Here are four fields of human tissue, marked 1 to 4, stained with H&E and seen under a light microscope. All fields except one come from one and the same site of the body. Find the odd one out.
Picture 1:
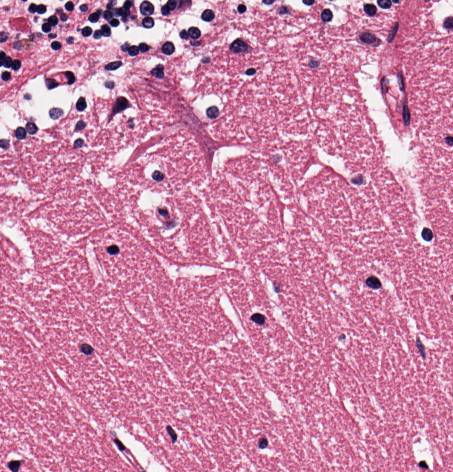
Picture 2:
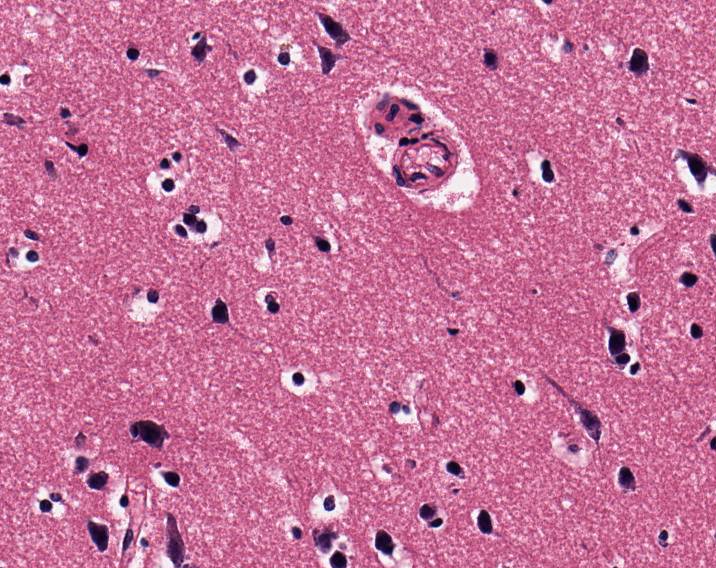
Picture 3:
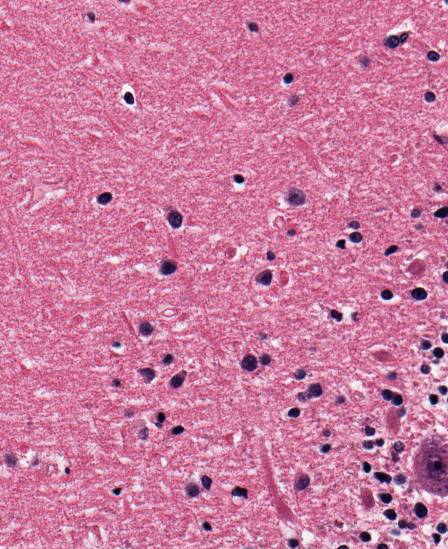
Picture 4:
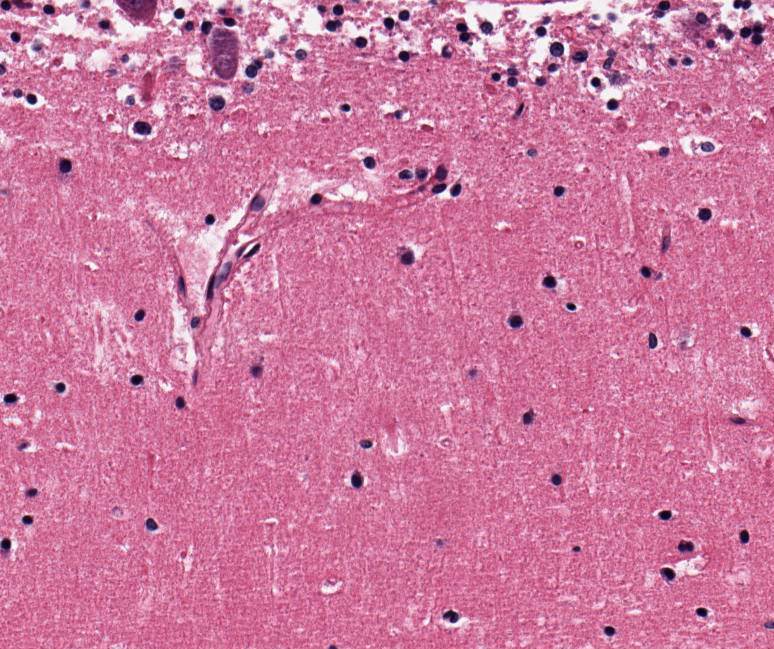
2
